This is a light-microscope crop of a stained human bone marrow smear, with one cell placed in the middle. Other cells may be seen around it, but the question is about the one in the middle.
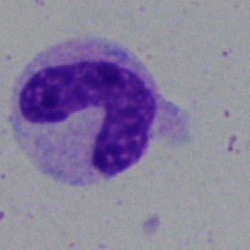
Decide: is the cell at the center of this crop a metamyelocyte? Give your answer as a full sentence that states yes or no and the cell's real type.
No, the central cell does not count as a metamyelocyte; it is a band neutrophil.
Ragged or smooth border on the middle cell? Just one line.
In outline, the cell is irregular, ragged in stretches or drawn into projections.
